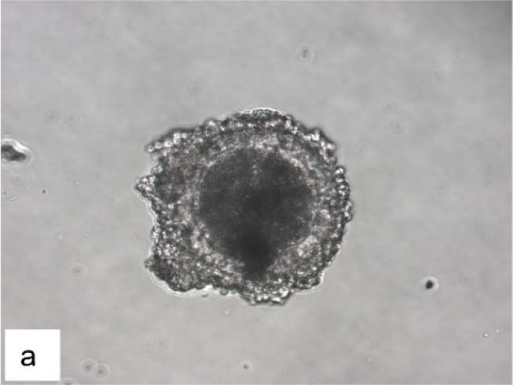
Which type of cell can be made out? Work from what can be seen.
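Cumulus cells. A large dark round cell lies in the centre. Several layers of small rounded cells surround it as a ragged rim.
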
